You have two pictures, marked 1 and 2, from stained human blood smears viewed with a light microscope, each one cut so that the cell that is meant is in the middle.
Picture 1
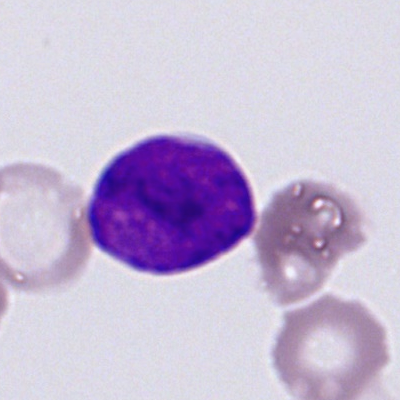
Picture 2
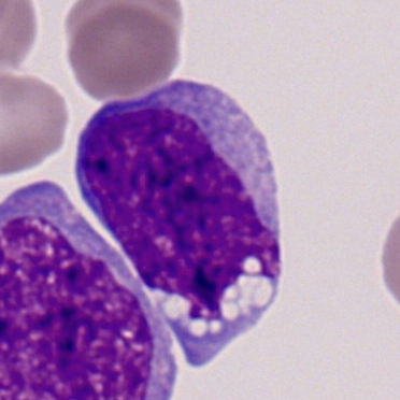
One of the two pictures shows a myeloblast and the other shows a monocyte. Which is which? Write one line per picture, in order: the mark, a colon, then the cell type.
1: myeloblast
2: monocyte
